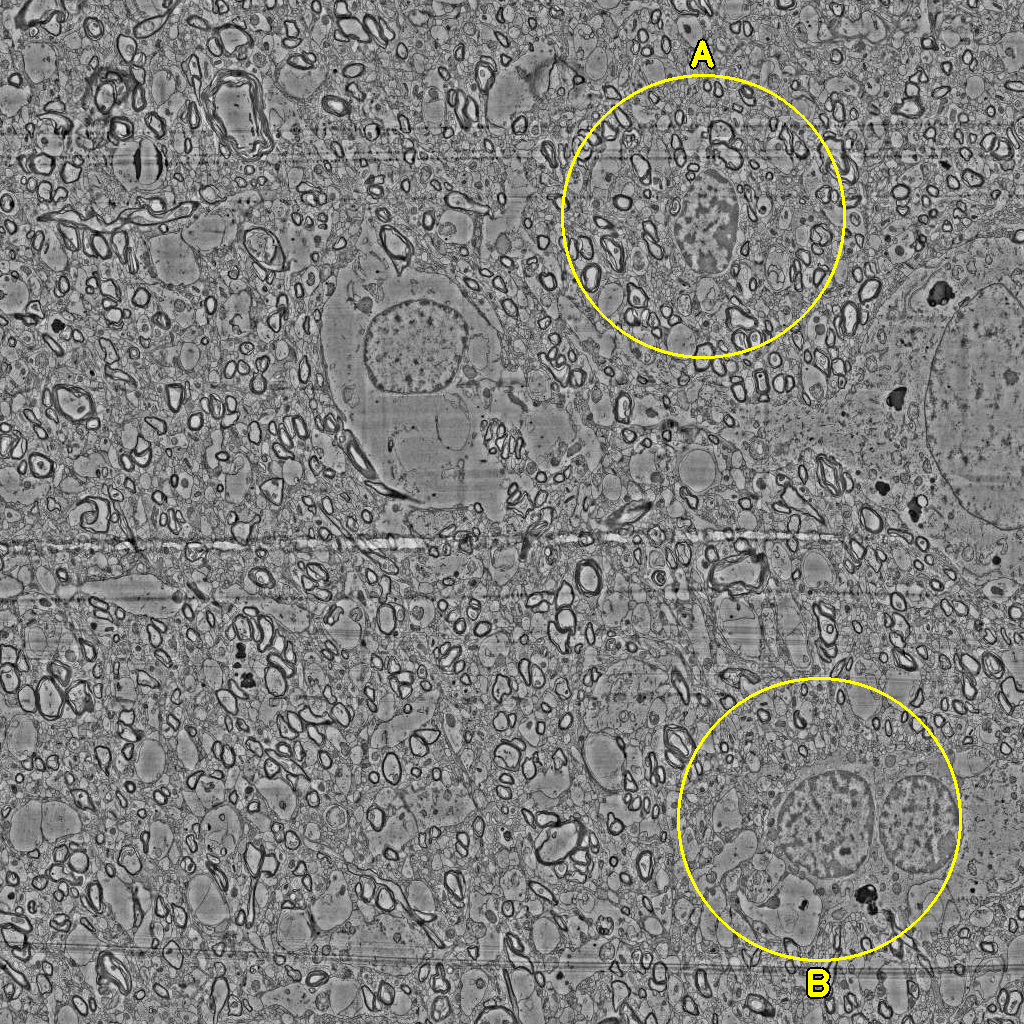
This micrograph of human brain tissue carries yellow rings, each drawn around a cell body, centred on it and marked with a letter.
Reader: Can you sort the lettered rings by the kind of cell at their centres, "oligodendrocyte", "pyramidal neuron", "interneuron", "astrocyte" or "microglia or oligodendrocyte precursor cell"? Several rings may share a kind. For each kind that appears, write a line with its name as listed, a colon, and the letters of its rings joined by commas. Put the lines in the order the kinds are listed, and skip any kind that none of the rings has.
oligodendrocyte: B
microglia or oligodendrocyte precursor cell: A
